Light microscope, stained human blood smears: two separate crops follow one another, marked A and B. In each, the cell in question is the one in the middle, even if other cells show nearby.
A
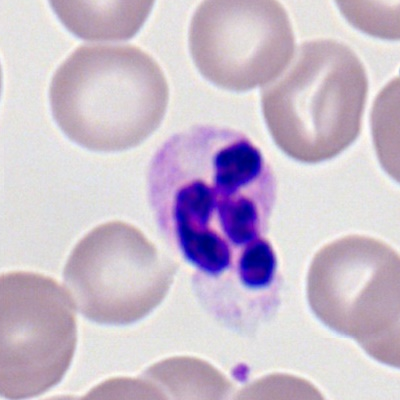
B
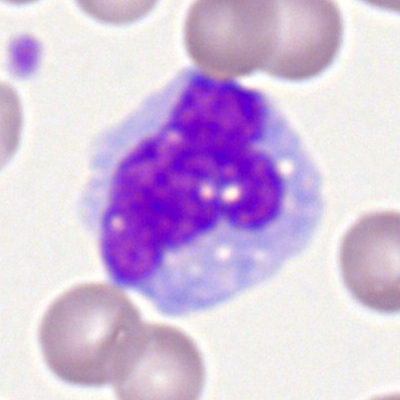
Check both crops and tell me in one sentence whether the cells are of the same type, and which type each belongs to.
No, crop A shows a segmented neutrophil, with a monocyte shown in crop B.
